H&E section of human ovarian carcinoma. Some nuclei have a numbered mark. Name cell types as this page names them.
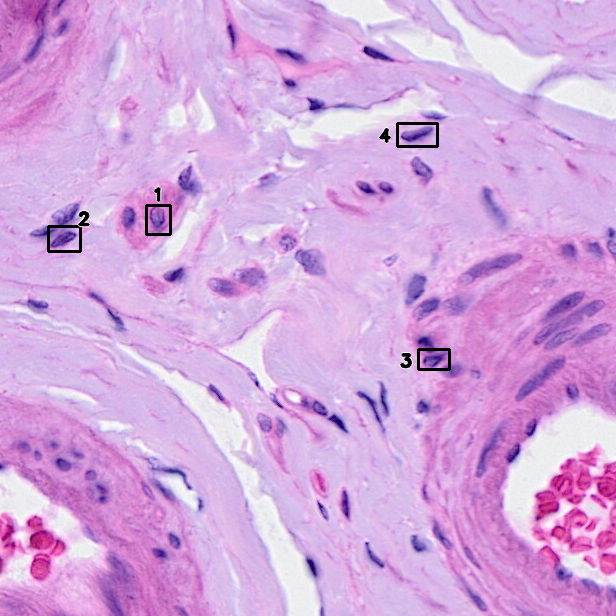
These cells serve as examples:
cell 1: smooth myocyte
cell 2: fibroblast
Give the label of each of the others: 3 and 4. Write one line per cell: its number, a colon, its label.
3: smooth myocyte
4: fibroblast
